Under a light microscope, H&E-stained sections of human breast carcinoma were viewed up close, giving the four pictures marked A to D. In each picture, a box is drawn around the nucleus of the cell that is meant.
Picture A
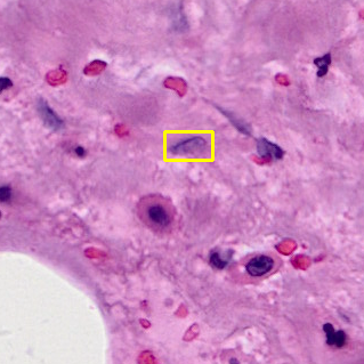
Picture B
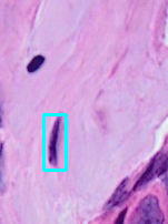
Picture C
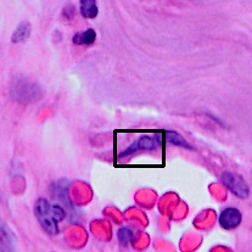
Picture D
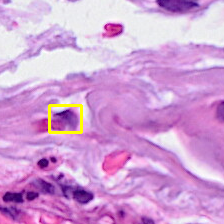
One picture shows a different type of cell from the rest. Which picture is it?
C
